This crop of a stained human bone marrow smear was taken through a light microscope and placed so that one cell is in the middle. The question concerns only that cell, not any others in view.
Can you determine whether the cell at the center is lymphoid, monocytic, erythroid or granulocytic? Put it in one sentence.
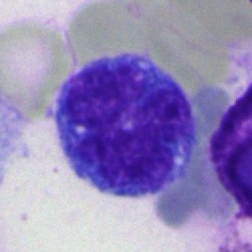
Within the monocytic lineage lies the cell at the center of the crop.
